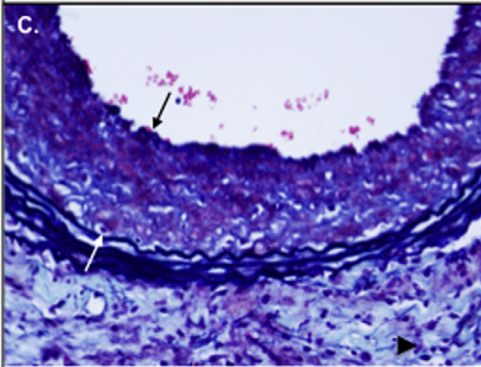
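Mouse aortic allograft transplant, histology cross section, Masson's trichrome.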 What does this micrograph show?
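A few red blood cells lie free in the lumen. Below the cellular layer are the dark, wavy elastic laminae, and outside them a looser blue-green collagen layer with scattered cells.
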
